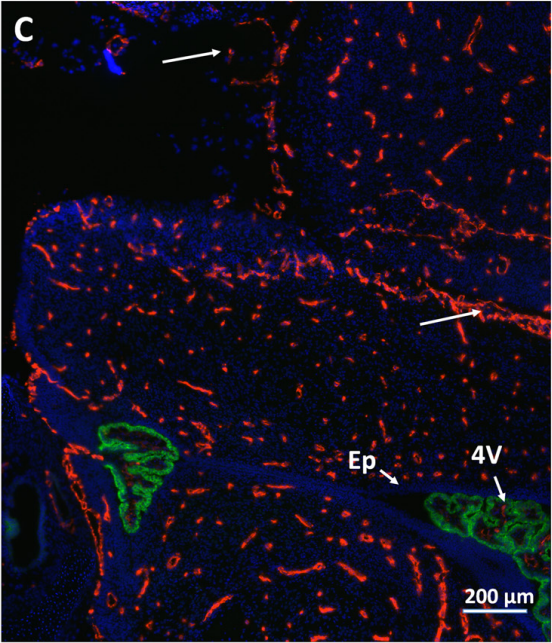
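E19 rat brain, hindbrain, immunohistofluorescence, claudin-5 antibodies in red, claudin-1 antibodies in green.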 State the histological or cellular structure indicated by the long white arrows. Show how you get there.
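The arrows point to red-lined vessel profiles running along the surface and in the clefts between tissue masses. These vessels lie in the spaces outside the tissue, not within it.
Hence: meningeal vessels.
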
